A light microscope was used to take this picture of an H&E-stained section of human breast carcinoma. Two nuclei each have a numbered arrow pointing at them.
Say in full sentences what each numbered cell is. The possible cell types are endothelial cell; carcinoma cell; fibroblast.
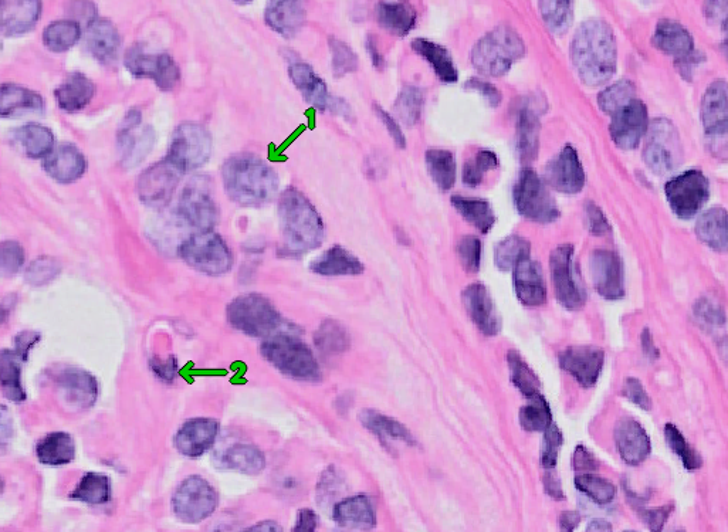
Cell 1 is a carcinoma cell and cell 2 is an endothelial cell.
